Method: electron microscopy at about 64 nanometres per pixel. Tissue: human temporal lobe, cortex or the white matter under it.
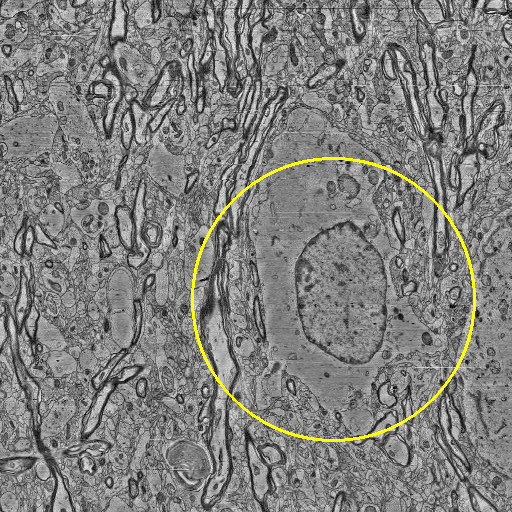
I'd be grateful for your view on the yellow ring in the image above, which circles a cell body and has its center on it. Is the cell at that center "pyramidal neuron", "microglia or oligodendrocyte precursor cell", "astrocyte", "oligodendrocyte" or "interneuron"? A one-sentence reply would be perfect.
The cell at the center of the yellow ring is an astrocyte.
